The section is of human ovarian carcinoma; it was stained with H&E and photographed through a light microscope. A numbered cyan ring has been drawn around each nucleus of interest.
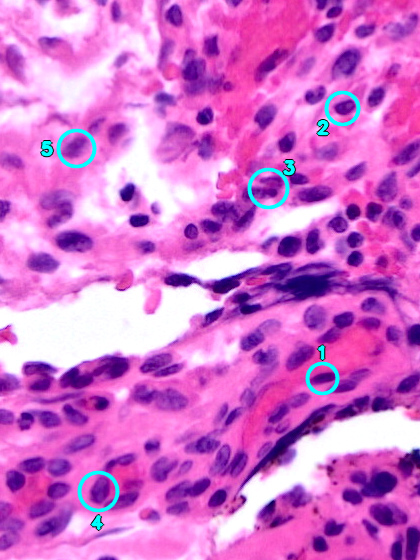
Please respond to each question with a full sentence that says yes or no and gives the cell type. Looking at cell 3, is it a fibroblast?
No, cell 3 is a macrophage or monocyte and should not be called a fibroblast.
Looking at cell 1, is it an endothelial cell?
Yes, the cell that is numbered 1 is an endothelial cell.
